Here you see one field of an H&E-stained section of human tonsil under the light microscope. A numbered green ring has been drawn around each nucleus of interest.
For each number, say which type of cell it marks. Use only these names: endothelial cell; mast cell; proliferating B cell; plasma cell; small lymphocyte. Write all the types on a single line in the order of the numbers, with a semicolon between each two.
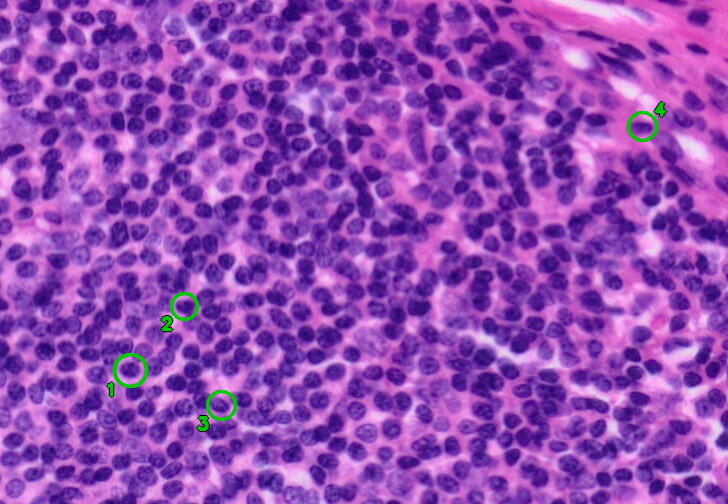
small lymphocyte; small lymphocyte; small lymphocyte; endothelial cell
